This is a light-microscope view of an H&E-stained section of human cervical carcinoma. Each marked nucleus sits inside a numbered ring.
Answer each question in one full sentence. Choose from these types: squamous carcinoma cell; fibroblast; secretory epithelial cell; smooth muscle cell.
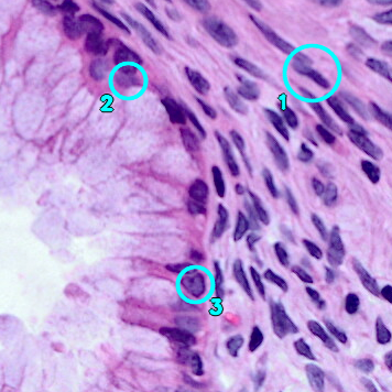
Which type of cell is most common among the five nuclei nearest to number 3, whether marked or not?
Most of the five nuclei nearest to number 3 are those of secretory epithelial cells.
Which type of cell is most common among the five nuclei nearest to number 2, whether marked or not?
Of the five nuclei nearest to number 2, most belong to secretory epithelial cells.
